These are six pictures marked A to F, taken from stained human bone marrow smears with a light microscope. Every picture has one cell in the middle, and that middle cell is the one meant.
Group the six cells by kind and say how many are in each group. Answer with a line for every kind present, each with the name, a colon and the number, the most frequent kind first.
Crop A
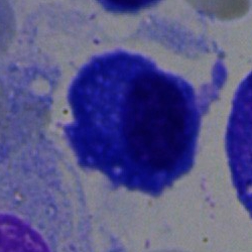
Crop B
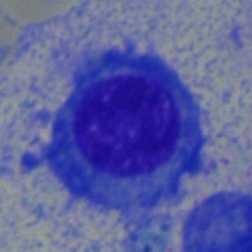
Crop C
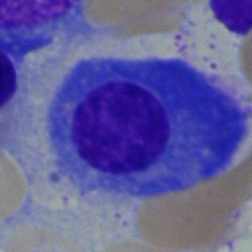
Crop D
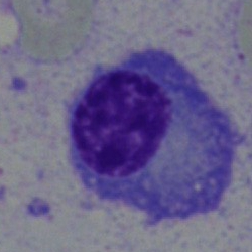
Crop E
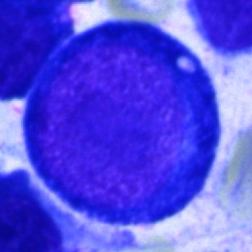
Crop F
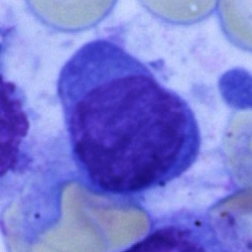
plasma cell: 5
proerythroblast: 1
